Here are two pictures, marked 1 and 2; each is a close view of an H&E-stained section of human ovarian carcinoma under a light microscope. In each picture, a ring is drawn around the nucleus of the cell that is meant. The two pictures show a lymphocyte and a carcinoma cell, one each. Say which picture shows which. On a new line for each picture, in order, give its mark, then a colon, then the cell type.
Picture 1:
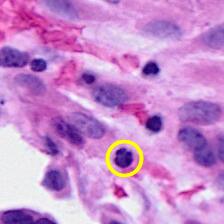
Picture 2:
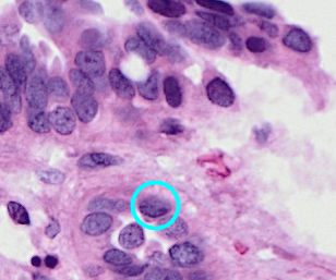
1: lymphocyte
2: carcinoma cell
